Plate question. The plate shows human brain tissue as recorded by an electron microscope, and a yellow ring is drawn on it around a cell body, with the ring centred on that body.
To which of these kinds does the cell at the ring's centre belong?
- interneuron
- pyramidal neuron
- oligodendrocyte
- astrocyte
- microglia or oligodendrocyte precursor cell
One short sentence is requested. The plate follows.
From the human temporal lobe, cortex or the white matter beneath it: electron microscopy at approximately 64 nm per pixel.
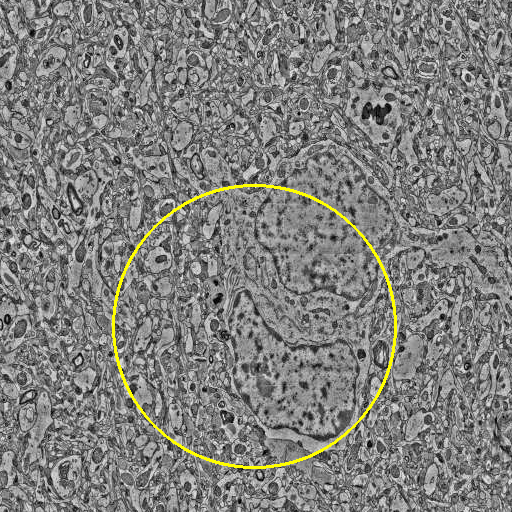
The cell at the ring's centre is a microglial cell or oligodendrocyte precursor cell.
